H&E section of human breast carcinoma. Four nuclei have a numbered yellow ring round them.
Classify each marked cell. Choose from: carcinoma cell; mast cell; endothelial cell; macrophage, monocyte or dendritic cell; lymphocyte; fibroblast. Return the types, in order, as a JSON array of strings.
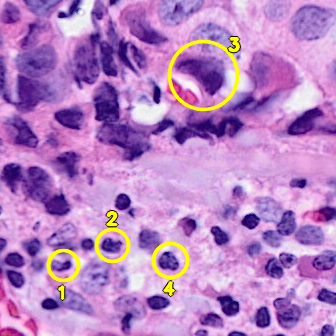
["lymphocyte", "lymphocyte", "carcinoma cell", "lymphocyte"]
